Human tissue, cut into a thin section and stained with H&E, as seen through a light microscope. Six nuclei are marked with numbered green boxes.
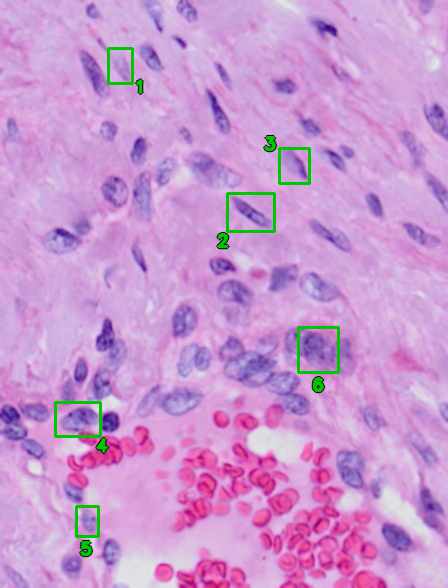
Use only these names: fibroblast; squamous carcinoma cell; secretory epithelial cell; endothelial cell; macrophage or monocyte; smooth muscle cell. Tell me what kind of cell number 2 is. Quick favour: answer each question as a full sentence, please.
The marked cell with the number 2 is recognised as a fibroblast.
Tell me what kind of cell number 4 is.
The cell referred to as 4 is an endothelial cell.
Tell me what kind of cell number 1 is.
Numbered cell 1 is a smooth muscle cell in this tissue section.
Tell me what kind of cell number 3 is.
Here, the cell given the number 3 is a smooth muscle cell.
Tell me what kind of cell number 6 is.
Within this field of view, the cell labelled 6 is an endothelial cell.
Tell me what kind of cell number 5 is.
Here the cell numbered 5 is an endothelial cell.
